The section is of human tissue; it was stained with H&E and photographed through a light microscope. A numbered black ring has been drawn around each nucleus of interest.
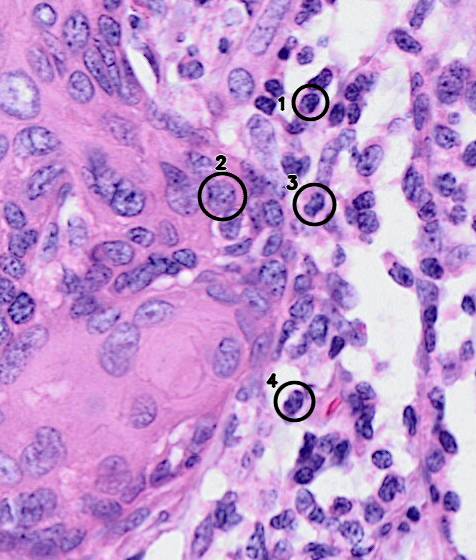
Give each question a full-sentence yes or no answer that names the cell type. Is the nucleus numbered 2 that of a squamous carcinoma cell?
Yes, the cell carrying label 2 is a squamous carcinoma cell.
